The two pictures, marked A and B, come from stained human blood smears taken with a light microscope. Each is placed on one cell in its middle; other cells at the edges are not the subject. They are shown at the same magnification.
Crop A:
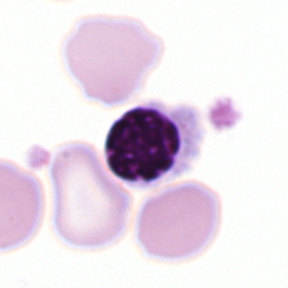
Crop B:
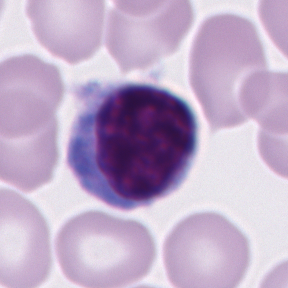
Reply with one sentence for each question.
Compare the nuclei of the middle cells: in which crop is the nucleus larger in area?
Larger is the nucleus in crop B, at roughly 2 times the area of the other.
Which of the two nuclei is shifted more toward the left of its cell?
It is the nucleus in crop A that lies further toward the left of its cell.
